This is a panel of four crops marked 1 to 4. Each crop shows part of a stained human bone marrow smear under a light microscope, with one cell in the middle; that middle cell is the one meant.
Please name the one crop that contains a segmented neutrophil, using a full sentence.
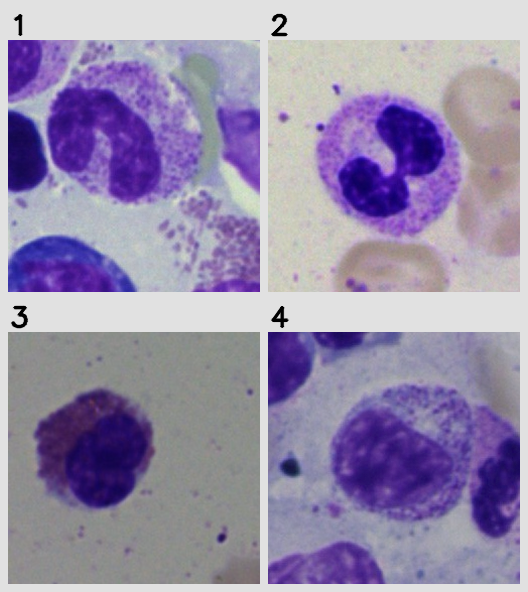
The crop that has a segmented neutrophil in the middle is crop 2.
